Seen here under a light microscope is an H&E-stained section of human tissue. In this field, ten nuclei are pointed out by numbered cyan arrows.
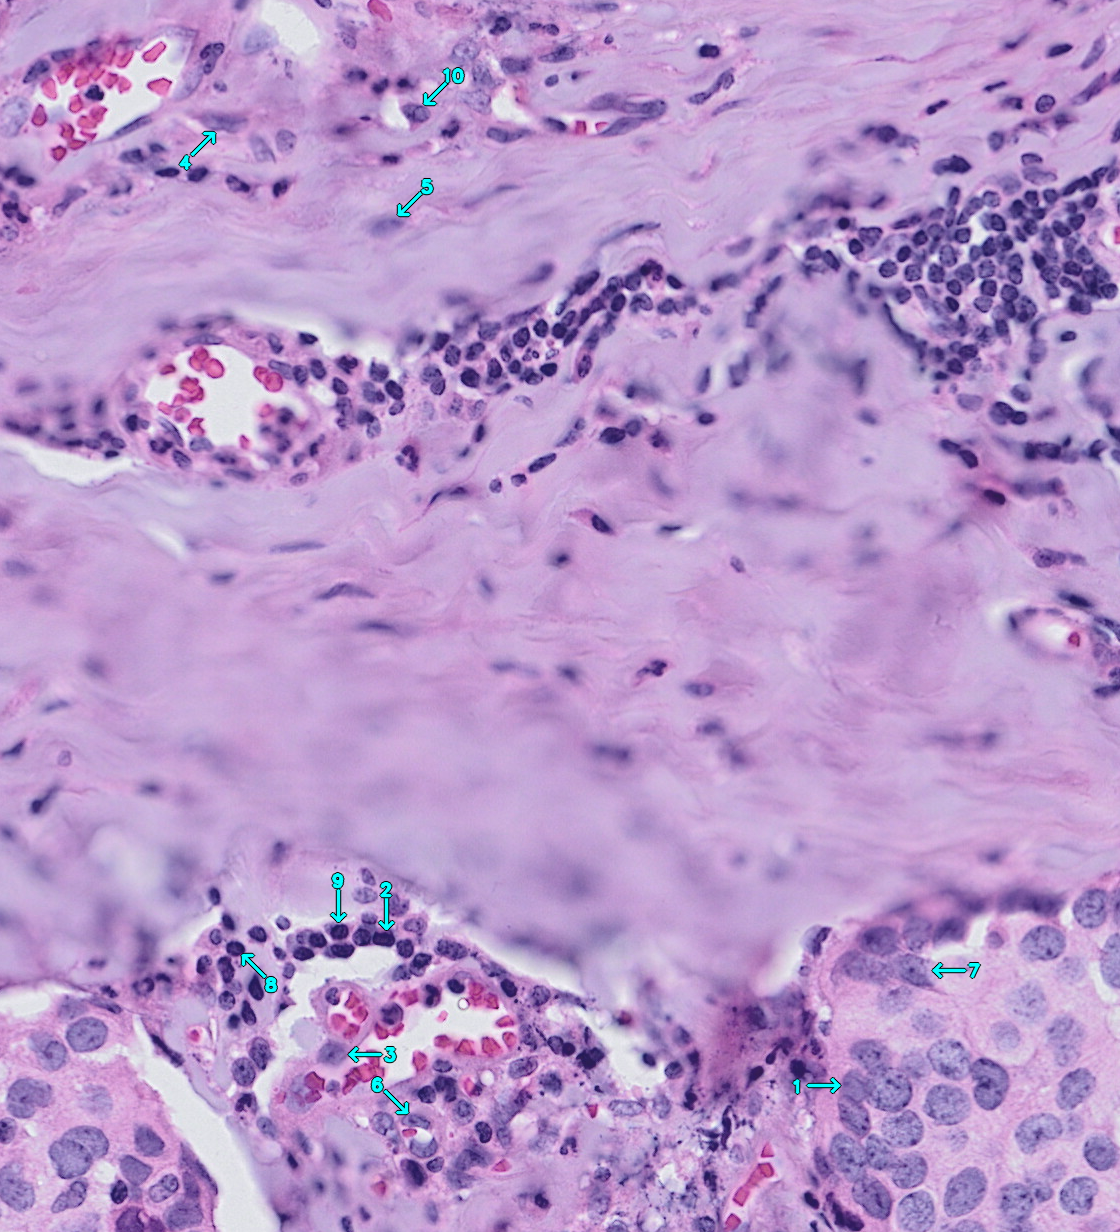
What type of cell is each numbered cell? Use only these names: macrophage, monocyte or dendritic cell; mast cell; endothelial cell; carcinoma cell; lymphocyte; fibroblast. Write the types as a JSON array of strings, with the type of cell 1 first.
["carcinoma cell", "lymphocyte", "endothelial cell", "endothelial cell", "fibroblast", "endothelial cell", "carcinoma cell", "lymphocyte", "lymphocyte", "mast cell"]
